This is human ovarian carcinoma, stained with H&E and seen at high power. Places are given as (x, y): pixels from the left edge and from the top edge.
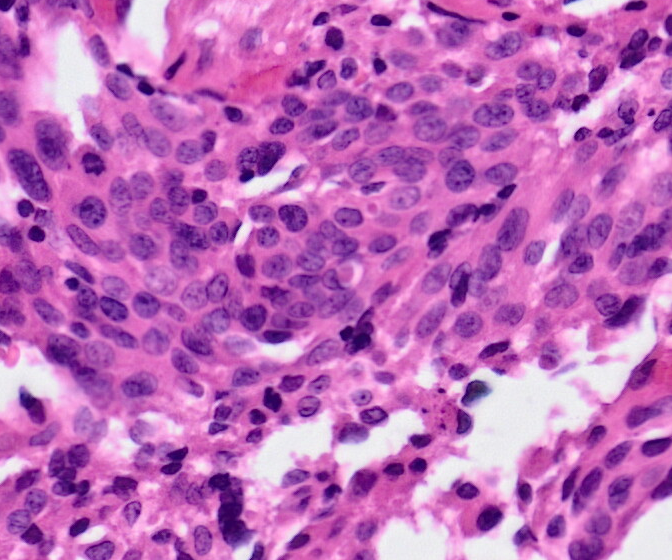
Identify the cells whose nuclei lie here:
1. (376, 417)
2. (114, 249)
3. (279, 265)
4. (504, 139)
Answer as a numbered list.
1. macrophage or monocyte
2. carcinoma cell
3. carcinoma cell
4. carcinoma cell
